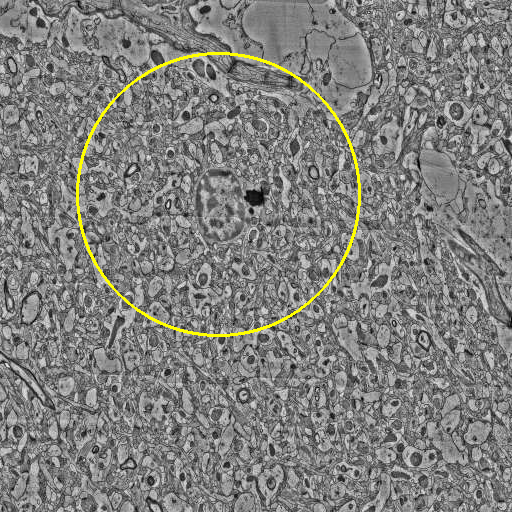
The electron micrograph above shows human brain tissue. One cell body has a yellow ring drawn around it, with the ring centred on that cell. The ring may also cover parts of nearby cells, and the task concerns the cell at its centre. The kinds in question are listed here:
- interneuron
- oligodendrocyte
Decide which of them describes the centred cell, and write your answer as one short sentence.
The centred cell is an oligodendrocyte.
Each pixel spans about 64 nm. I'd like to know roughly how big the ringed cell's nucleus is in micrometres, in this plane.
In this plane the nucleus is about 4 micrometres by 3.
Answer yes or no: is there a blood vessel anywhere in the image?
Yes, a blood vessel can be seen.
